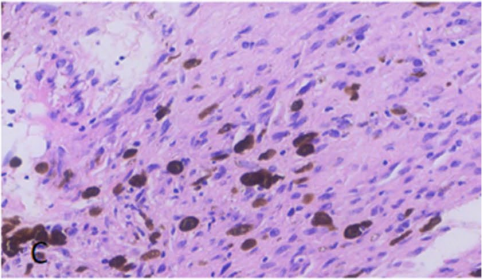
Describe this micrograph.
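Spindle-shaped cells with slender, elongated to oval nuclei lie loosely in a pale pink, fibrillar stroma. Scattered among them are round to ovoid cells heavily laden with dark brown pigment, some clustered toward the left. A few clear fat vacuoles lie at the left edge.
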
